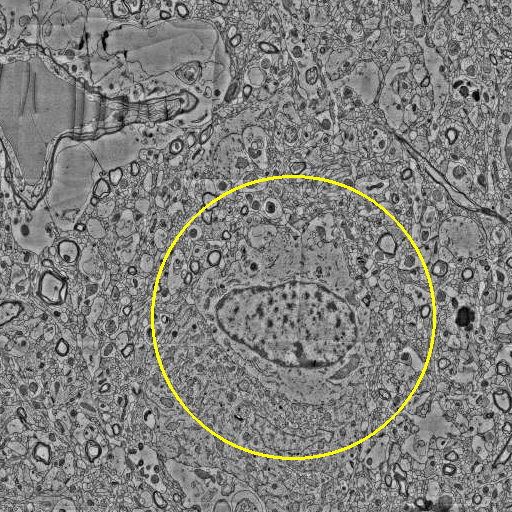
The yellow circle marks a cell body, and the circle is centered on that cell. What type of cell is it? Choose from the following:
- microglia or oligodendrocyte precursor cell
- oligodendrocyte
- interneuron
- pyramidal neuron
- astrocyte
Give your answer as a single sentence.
This cell body belongs to a microglial cell or oligodendrocyte precursor cell.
